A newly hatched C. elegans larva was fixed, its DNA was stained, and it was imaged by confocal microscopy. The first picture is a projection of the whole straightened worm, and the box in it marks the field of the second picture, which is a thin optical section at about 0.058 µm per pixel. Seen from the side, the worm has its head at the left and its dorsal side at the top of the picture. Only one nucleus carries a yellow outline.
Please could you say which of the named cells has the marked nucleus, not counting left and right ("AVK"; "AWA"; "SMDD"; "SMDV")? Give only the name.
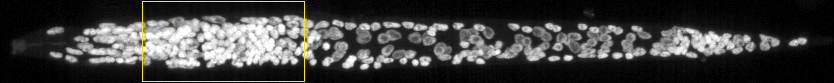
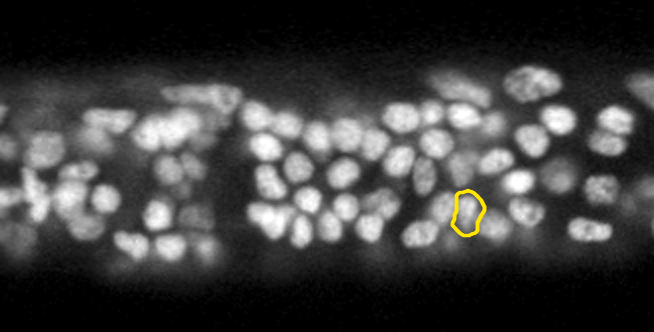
AVK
